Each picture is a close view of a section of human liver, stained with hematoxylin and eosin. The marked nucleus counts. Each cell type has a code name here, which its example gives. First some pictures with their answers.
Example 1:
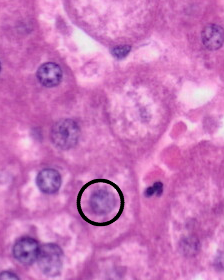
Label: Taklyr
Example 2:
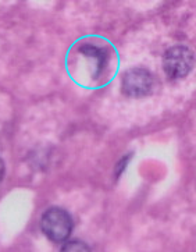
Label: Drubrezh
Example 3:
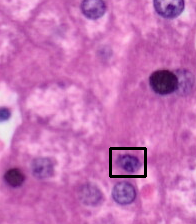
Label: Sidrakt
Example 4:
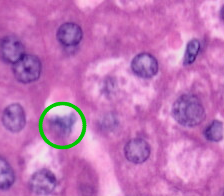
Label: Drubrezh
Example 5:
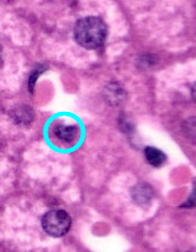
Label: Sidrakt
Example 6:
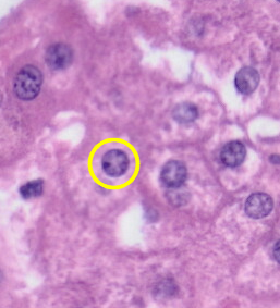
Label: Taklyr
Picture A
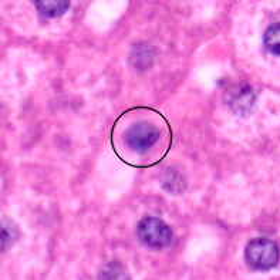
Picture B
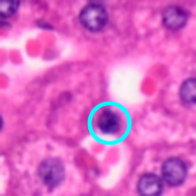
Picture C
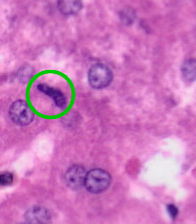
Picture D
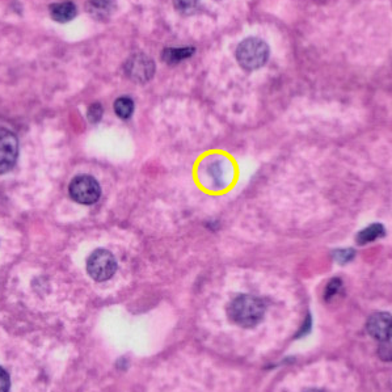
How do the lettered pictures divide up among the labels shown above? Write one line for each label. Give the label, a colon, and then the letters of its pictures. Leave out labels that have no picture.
Drubrezh: A, D
Sidrakt: B, C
